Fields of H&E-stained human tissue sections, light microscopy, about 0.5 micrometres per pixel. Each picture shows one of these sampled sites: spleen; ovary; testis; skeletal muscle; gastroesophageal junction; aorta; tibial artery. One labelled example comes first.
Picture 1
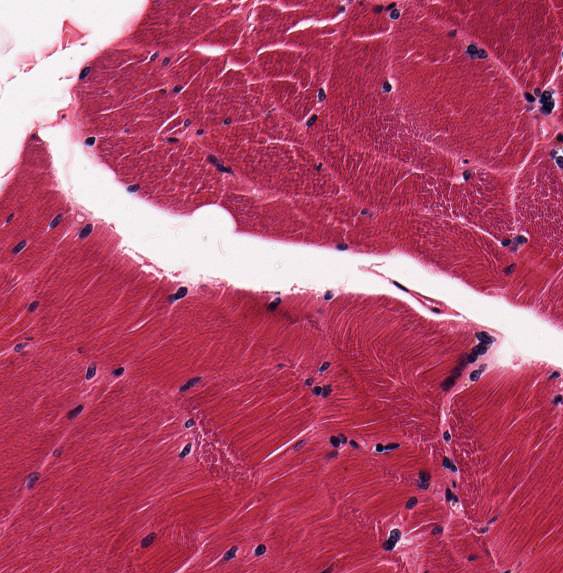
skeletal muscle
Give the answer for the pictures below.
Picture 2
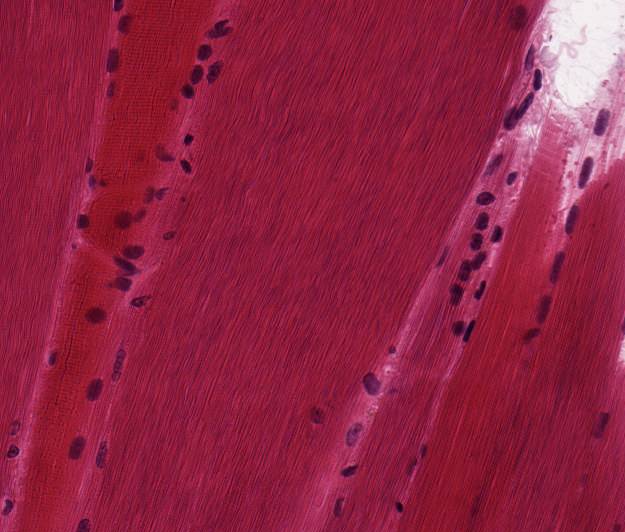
skeletal muscle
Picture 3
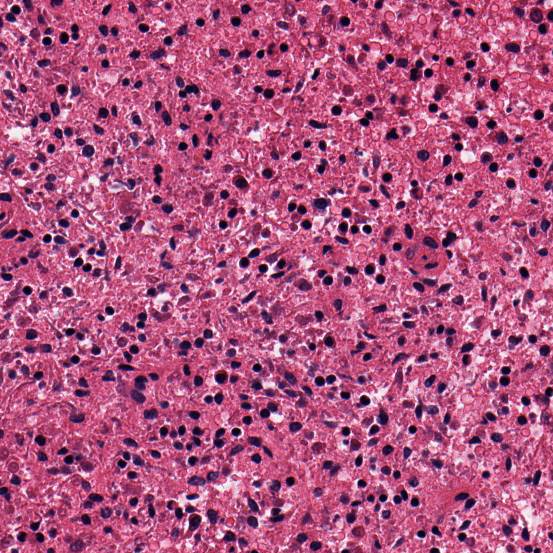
spleen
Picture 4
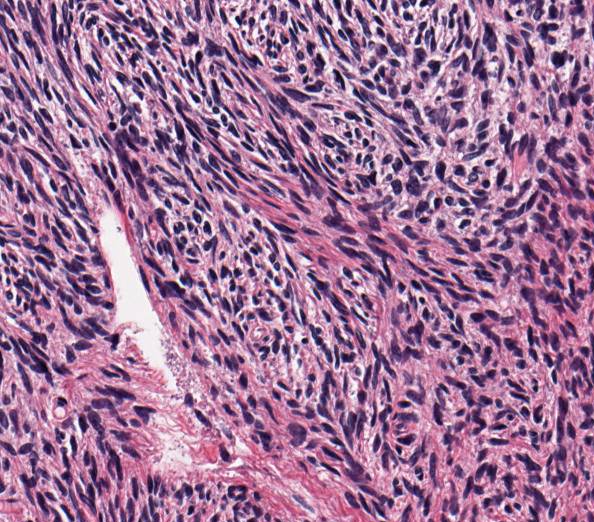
ovary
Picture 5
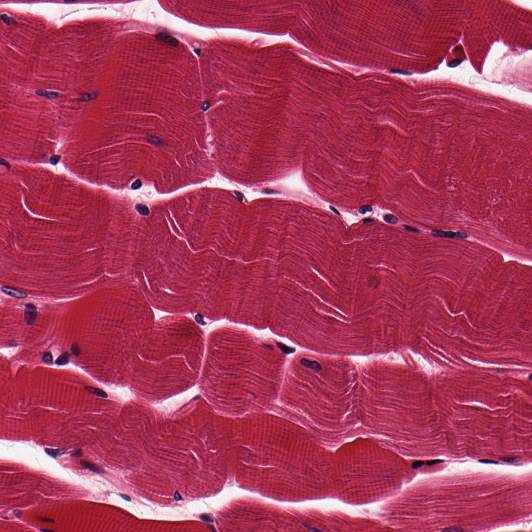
skeletal muscle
